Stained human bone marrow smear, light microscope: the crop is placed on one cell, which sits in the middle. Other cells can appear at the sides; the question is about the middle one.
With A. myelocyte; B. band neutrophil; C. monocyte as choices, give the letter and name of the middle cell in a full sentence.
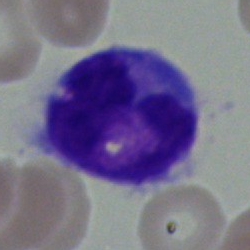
The cell centred in the crop is a monocyte, and the correct option is thus C.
